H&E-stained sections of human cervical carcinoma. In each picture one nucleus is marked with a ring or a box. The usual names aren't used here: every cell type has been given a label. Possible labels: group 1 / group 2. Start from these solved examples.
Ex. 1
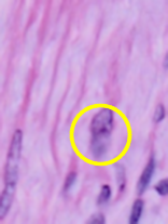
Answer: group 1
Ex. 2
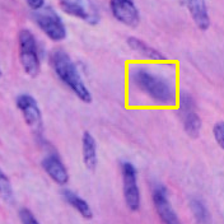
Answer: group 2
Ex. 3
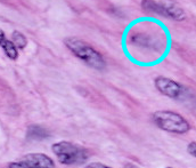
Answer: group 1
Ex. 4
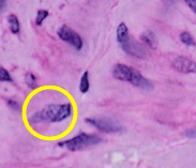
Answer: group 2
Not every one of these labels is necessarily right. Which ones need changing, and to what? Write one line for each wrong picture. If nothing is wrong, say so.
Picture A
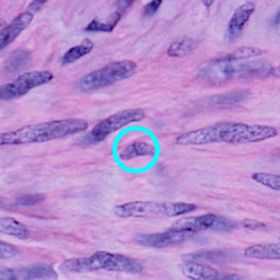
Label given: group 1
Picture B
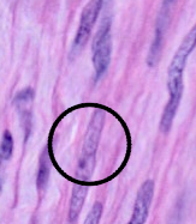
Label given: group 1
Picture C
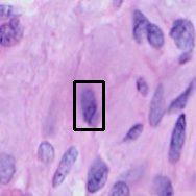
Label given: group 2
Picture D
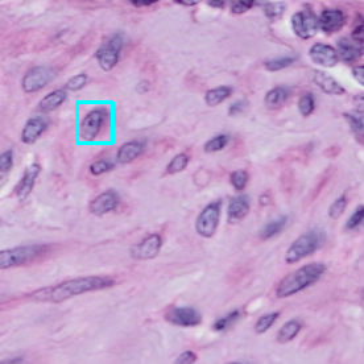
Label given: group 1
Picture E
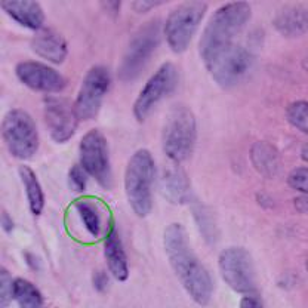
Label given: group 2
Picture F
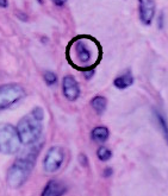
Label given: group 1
All correct.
